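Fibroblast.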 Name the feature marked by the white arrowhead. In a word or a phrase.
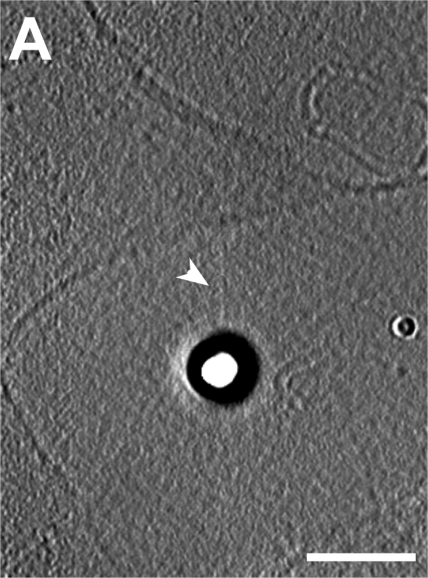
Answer: Tether.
